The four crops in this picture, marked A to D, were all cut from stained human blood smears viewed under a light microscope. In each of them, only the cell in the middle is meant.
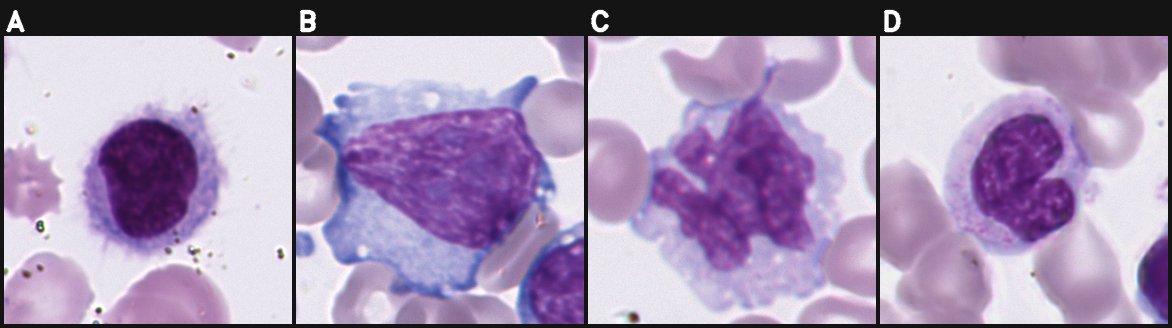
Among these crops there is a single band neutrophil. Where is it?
D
